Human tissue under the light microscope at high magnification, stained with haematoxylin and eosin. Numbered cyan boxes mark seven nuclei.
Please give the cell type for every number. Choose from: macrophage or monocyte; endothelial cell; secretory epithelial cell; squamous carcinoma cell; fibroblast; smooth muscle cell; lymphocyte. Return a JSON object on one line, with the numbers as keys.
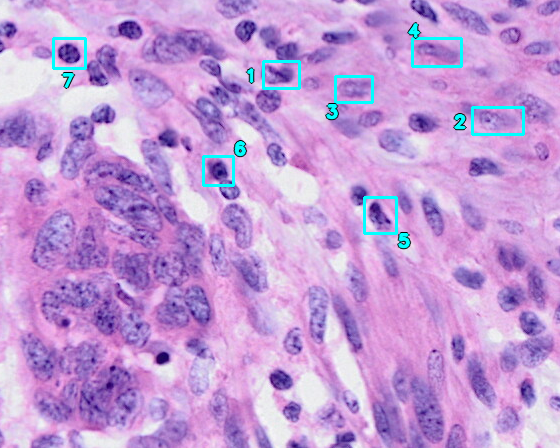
{"1": "lymphocyte", "2": "smooth muscle cell", "3": "smooth muscle cell", "4": "smooth muscle cell", "5": "lymphocyte", "6": "lymphocyte", "7": "lymphocyte"}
